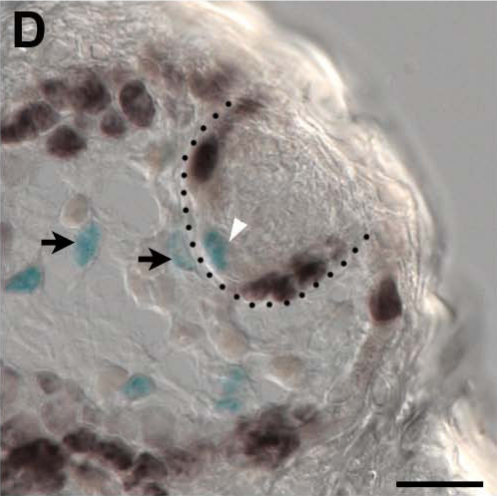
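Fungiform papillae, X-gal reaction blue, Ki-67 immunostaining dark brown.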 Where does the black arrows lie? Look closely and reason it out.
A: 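Mesenchyme. The arrows point to blue cells on the outer side of the dotted line. The surrounding tissue is loose with spaces between cells.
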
